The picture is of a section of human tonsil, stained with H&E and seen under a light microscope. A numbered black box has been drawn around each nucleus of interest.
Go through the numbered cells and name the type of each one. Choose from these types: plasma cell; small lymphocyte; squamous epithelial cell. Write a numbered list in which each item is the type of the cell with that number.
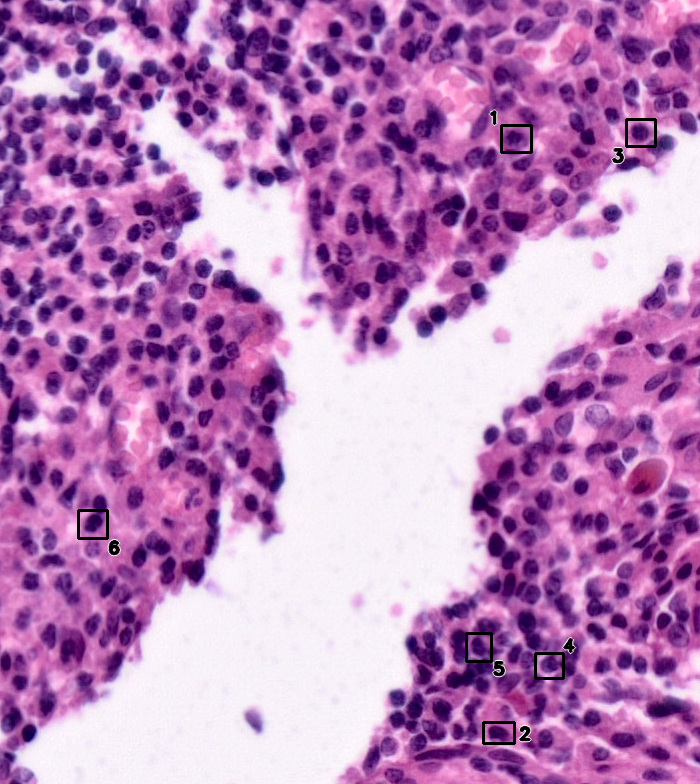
1. plasma cell
2. plasma cell
3. plasma cell
4. small lymphocyte
5. small lymphocyte
6. plasma cell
